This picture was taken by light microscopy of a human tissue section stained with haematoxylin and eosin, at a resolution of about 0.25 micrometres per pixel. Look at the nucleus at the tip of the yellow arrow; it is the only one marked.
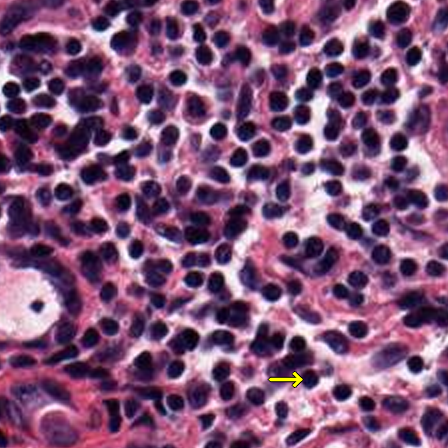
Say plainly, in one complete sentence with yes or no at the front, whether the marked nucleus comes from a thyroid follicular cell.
No, the marked nucleus is assigned not to a thyroid follicular cell but to a supporting cell.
